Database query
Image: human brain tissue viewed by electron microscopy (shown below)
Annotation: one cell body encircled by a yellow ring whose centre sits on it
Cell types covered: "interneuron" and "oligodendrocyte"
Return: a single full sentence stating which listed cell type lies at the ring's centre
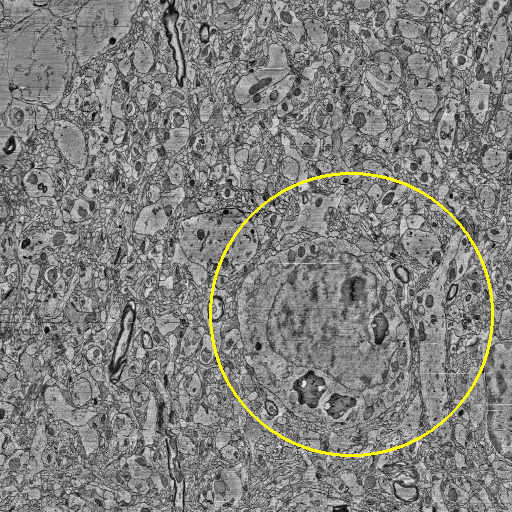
In the image, the cell lying at the ring's centre is an interneuron.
